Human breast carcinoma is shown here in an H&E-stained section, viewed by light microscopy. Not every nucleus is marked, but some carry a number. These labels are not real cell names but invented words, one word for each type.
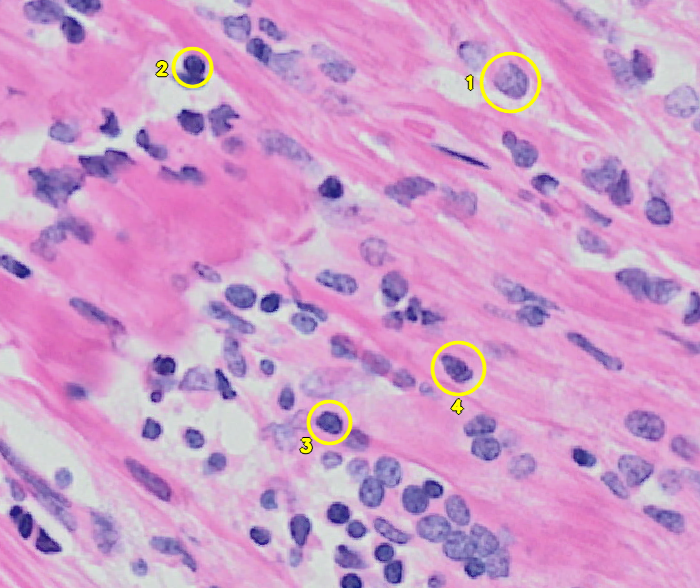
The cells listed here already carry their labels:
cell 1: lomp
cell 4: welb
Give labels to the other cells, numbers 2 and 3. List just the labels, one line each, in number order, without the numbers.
welb
welb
